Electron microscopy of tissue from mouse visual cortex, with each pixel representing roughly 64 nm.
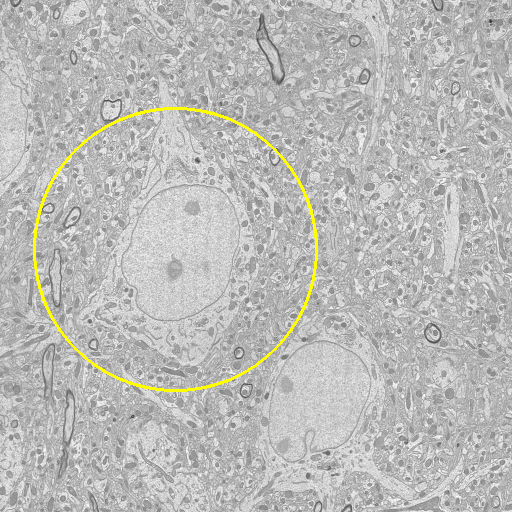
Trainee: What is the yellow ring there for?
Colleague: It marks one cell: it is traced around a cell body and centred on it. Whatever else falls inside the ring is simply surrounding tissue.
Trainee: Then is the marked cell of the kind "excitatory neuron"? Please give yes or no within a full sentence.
Yes, the marked cell at the centre of the yellow ring is of the kind asked about.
